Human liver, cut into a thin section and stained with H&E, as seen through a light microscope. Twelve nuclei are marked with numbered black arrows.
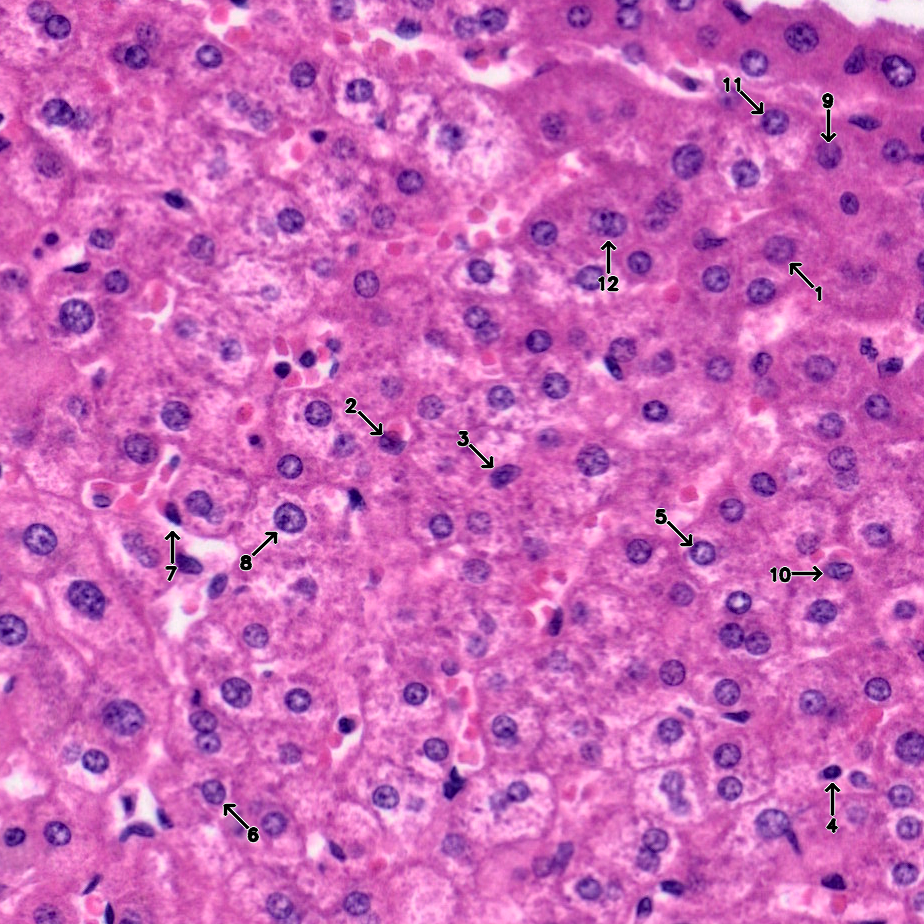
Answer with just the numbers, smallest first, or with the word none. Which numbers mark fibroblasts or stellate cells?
7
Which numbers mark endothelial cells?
2, 3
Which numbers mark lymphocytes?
4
